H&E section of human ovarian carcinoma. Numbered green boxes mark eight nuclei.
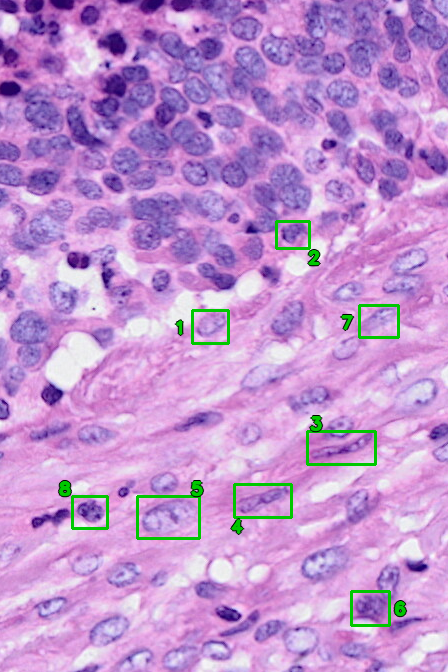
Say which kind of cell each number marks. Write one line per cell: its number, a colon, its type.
1: fibroblast
2: macrophage or monocyte
3: fibroblast
4: fibroblast
5: fibroblast
6: endothelial cell
7: fibroblast
8: lymphocyte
